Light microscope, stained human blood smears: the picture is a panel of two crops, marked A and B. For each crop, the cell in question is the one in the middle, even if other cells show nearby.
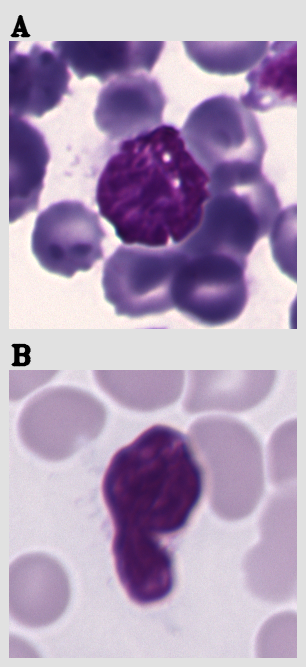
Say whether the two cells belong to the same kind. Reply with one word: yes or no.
no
